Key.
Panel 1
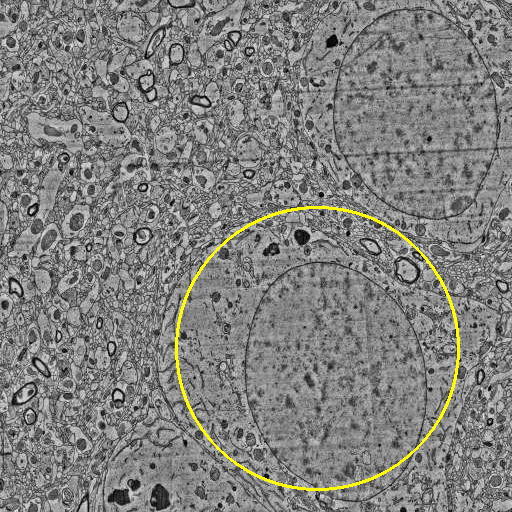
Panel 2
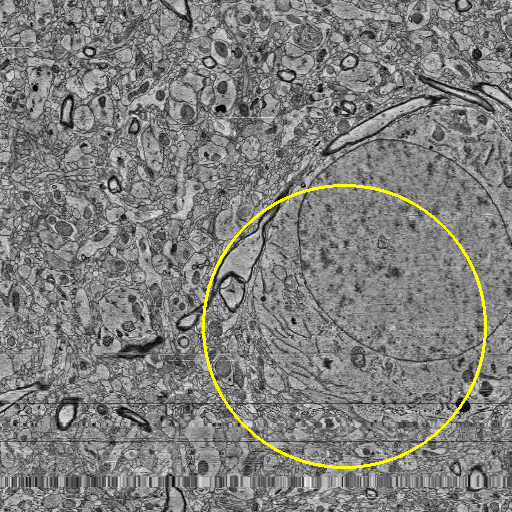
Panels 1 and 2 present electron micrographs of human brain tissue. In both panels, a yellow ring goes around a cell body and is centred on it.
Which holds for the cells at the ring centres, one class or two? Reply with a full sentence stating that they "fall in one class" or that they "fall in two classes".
Taken together, the ring-centre cells of the two panels fall in one class.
